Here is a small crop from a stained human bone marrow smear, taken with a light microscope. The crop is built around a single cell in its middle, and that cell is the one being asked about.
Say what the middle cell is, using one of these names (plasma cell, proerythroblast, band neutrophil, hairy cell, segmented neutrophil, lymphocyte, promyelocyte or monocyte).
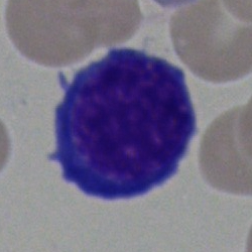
proerythroblast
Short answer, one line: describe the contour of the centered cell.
Rather than running smoothly, the cell border is ragged or carries projections.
